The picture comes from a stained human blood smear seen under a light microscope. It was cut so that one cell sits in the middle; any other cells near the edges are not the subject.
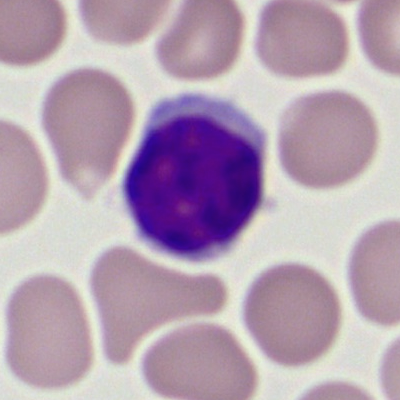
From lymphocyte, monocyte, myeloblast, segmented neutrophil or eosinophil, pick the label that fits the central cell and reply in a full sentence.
Whatever else lies nearby, the middle cell is a lymphocyte.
